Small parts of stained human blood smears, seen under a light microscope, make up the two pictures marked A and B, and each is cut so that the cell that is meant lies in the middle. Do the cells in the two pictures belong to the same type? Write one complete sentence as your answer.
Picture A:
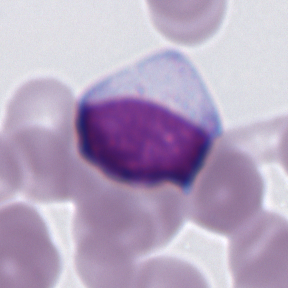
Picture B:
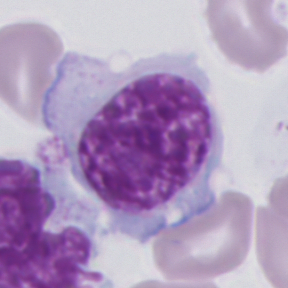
No. Picture A shows a large granular lymphocyte, but picture B shows a plasma cell.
